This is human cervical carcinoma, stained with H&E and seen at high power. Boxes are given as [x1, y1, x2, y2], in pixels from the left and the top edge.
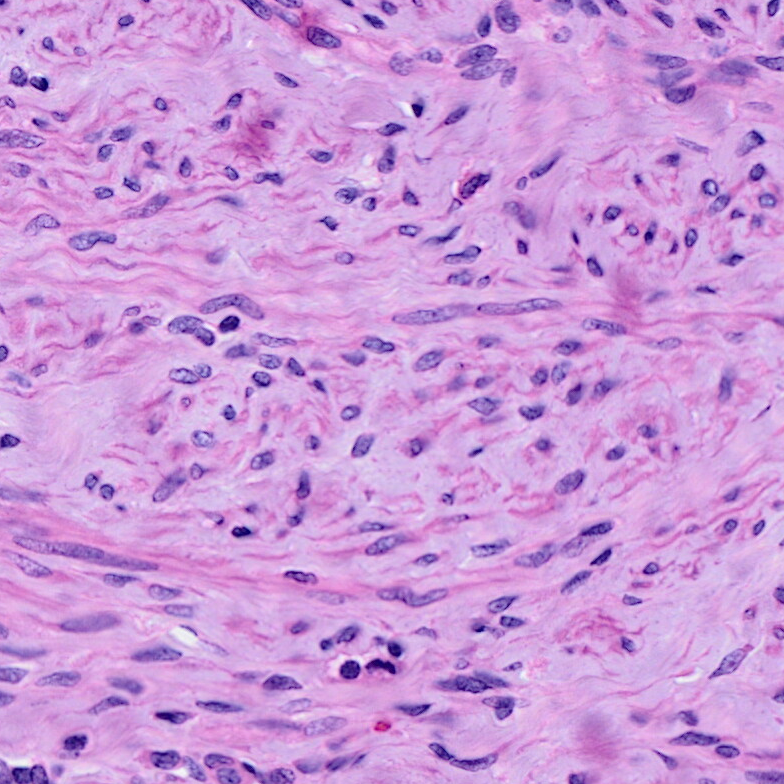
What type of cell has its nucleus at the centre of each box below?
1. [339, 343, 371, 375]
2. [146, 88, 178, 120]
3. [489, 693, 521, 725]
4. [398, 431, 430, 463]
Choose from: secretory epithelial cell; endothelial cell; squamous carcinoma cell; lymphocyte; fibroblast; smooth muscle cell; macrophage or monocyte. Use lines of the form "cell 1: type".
cell 1: smooth muscle cell
cell 2: smooth muscle cell
cell 3: lymphocyte
cell 4: smooth muscle cell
